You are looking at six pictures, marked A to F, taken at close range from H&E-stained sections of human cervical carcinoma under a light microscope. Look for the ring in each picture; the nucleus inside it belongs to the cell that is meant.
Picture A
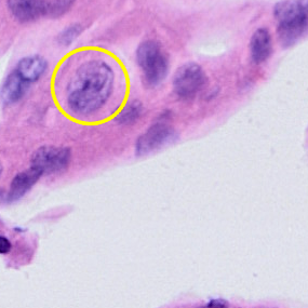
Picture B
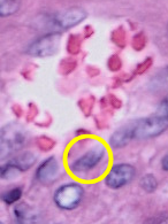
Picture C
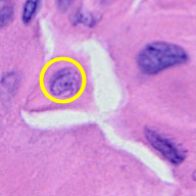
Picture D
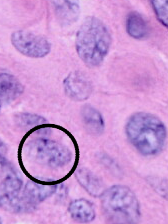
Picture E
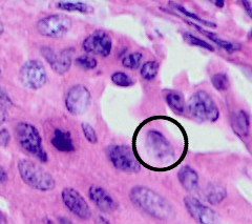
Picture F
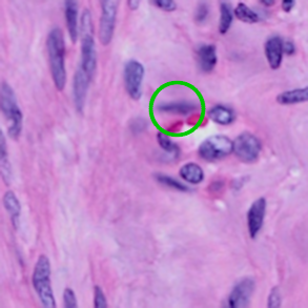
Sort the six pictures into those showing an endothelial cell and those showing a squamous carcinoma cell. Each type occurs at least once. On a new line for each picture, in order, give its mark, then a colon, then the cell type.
A: squamous carcinoma cell
B: endothelial cell
C: squamous carcinoma cell
D: squamous carcinoma cell
E: squamous carcinoma cell
F: endothelial cell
